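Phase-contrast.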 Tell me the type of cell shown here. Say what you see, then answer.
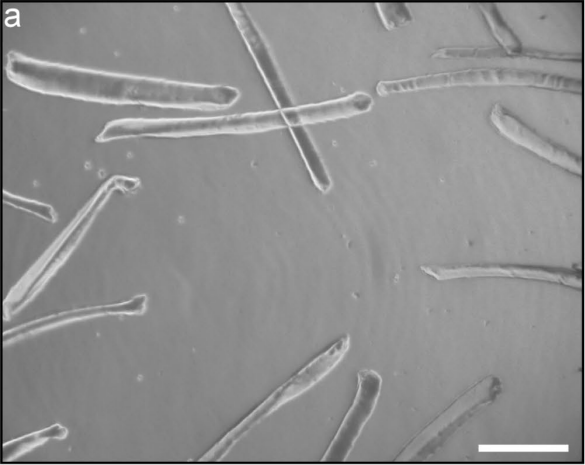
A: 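Many long, straight, cylindrical cells lie scattered on the dish. The cells have blunt, rounded or slightly flared ends. They are far longer than wide and uniform in width. So: skeletal muscle fibers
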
